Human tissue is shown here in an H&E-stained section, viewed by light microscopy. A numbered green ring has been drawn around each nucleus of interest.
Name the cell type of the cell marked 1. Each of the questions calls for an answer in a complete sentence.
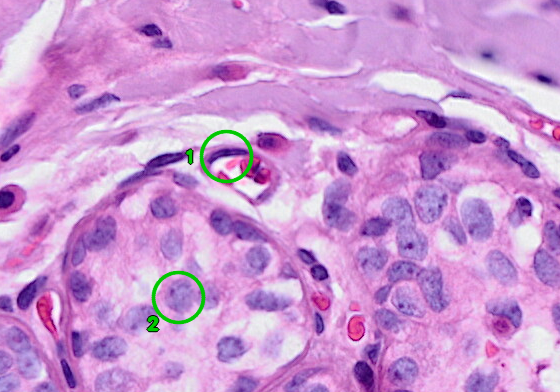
Denoted by the label 1 in the section is an endothelial cell.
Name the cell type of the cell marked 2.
Heads up, the cell numbered 2 is a carcinoma cell.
